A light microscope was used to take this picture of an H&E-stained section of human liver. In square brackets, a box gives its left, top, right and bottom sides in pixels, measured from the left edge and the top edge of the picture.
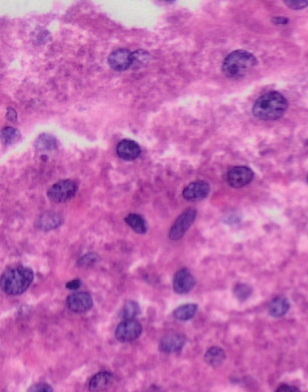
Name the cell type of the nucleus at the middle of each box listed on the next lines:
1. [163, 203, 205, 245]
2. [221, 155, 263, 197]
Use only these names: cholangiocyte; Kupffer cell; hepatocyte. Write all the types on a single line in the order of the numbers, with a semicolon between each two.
Kupffer cell; hepatocyte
